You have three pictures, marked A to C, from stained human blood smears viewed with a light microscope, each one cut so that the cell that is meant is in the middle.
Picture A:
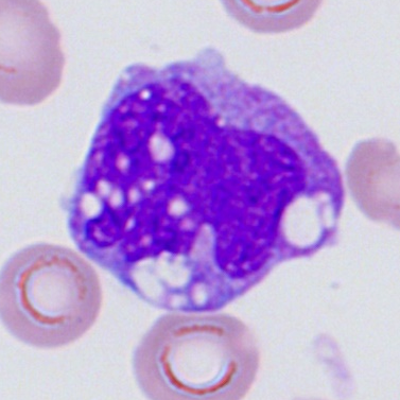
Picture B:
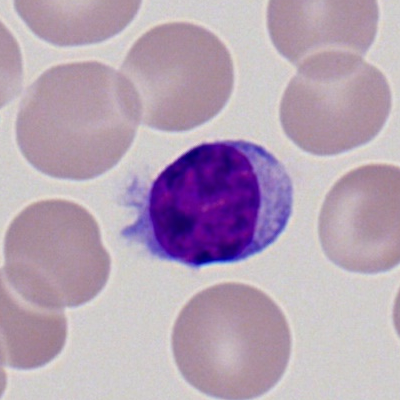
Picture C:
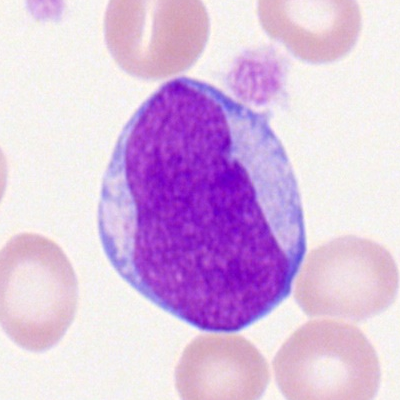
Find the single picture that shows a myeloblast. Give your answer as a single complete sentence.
The myeloblast is the one in picture C.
